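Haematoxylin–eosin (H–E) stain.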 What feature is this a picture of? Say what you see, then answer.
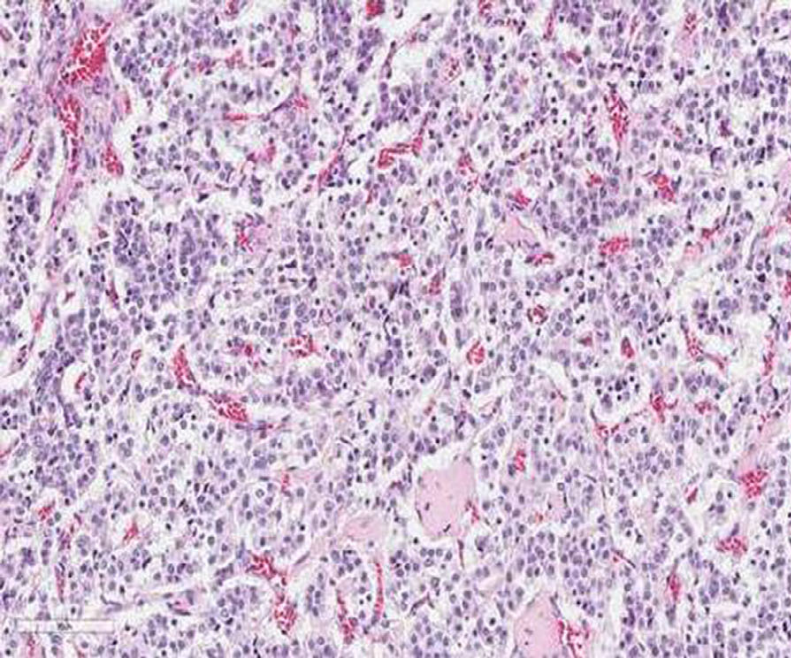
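Cells form cords and nests separated by thin vascular channels. Small blood vessels filled with red cells run between the cell groups.
Answer: organoid and trabecular growth pattern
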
